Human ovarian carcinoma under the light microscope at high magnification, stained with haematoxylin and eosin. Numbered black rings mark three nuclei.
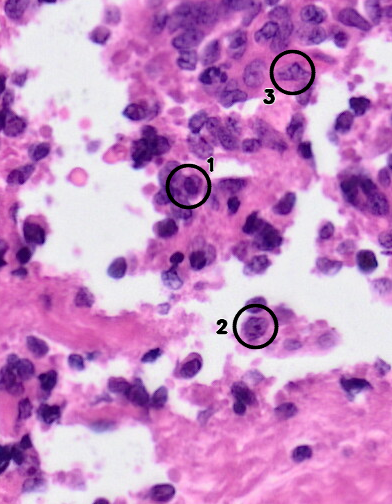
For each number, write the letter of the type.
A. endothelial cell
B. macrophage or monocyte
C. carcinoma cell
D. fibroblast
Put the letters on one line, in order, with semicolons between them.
C; B; A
